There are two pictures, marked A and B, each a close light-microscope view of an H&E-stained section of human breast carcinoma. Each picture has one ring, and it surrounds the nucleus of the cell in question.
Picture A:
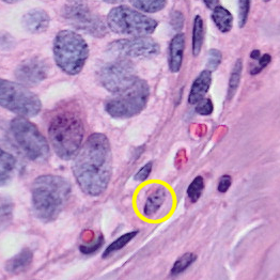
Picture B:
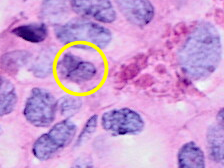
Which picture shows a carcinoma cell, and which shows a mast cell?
A: mast cell
B: carcinoma cell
